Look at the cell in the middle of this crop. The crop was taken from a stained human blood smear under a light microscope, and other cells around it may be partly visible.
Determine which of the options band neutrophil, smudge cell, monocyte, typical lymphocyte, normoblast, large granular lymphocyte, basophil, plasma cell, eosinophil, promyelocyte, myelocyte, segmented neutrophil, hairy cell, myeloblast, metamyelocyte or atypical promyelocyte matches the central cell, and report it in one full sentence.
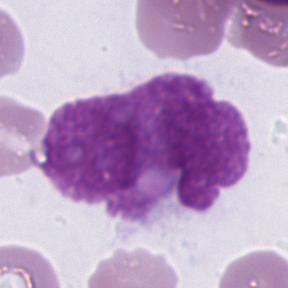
The target cell in the middle of the crop is a smudge cell.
